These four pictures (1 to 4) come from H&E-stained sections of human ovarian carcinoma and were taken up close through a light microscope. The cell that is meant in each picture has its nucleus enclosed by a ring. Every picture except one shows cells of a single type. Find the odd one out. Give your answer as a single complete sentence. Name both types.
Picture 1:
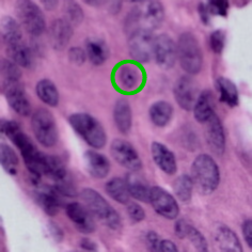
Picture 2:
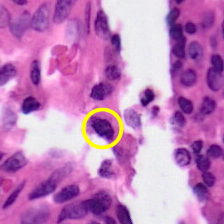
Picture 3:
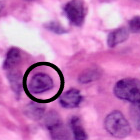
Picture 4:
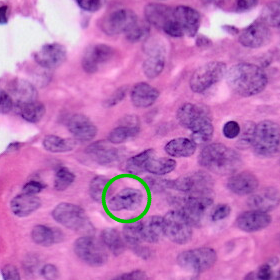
Picture 1 differs, because its cell is an endothelial cell and the rest are “macrophages or monocytes”.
